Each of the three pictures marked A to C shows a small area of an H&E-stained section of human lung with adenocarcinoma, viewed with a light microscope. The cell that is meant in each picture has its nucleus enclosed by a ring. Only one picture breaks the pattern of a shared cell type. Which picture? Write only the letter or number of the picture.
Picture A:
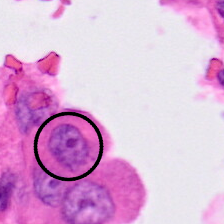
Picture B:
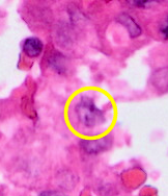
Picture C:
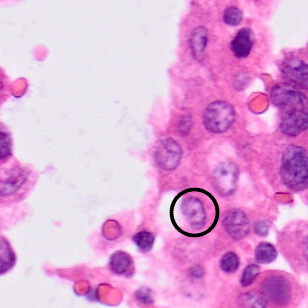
A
